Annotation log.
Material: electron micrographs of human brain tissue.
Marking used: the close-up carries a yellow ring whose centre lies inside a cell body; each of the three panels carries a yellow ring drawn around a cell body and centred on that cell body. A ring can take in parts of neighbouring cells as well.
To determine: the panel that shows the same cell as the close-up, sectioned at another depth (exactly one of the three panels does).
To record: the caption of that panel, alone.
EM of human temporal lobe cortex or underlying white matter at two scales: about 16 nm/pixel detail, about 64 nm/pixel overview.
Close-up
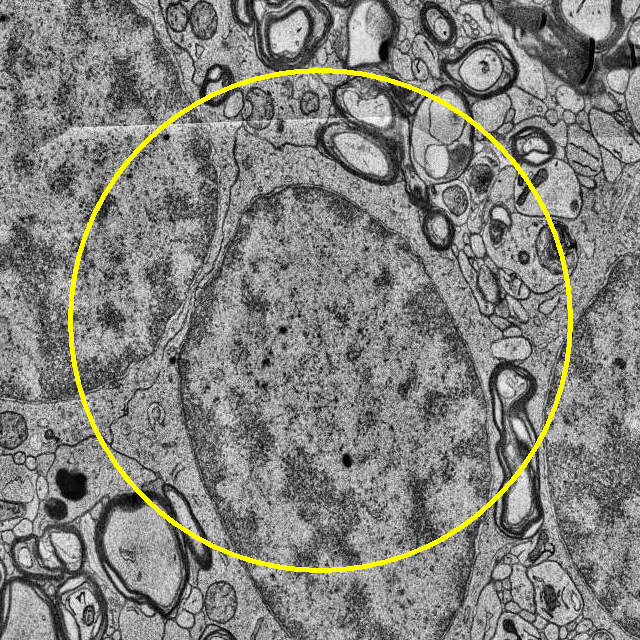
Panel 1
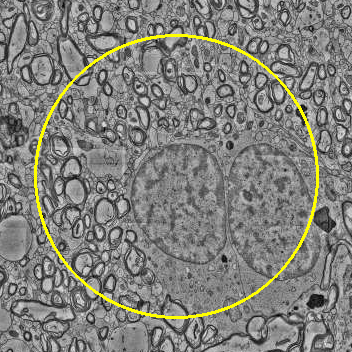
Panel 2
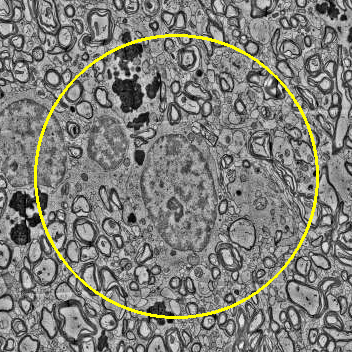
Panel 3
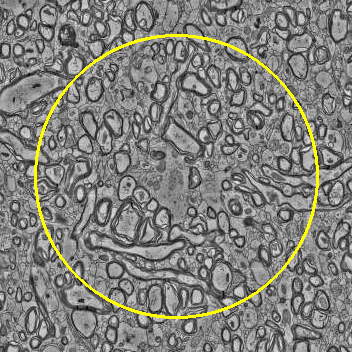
Panel 2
